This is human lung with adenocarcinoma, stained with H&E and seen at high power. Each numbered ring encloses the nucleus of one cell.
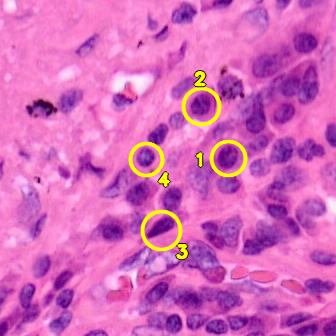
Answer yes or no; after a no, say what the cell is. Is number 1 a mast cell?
No, it is a plasma cell.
